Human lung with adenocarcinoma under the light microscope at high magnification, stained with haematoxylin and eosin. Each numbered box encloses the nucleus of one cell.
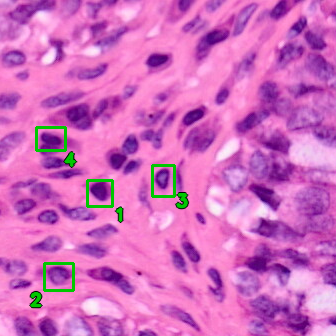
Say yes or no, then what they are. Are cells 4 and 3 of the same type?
No, cell 4 is classed as a plasma cell and cell 3 as a mast cell.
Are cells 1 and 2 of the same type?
Yes, both of cells 1 and 2 are plasma cells.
